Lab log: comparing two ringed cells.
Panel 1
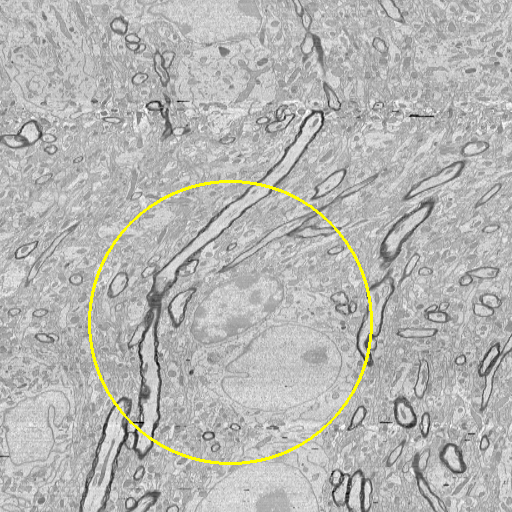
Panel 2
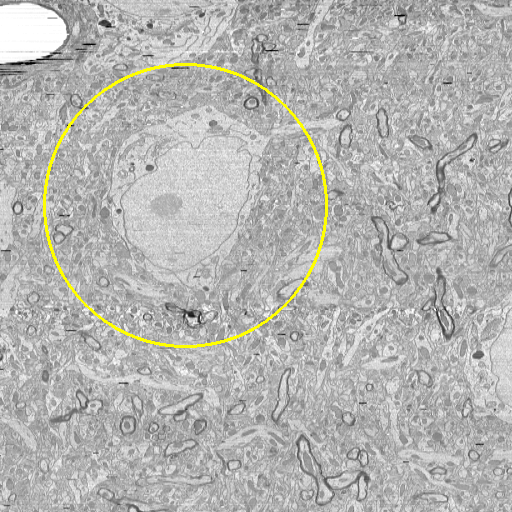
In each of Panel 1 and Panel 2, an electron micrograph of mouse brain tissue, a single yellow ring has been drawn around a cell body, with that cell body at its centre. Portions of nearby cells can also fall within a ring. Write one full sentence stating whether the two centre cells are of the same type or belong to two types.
The cells at the ring centres in Panel 1 and Panel 2 belong to two types.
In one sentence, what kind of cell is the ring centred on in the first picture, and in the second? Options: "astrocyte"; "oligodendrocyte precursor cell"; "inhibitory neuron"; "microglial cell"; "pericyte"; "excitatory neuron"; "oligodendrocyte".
The cell at the centre of the second ring is an excitatory neuron; the first ring's cell is an oligodendrocyte.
